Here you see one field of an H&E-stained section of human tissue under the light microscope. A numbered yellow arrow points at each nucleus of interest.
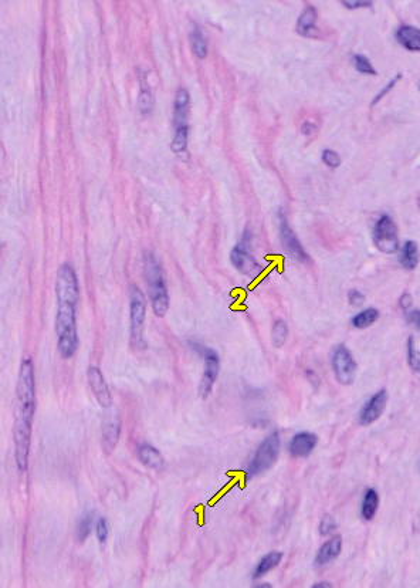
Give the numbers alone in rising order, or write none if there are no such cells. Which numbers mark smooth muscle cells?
2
